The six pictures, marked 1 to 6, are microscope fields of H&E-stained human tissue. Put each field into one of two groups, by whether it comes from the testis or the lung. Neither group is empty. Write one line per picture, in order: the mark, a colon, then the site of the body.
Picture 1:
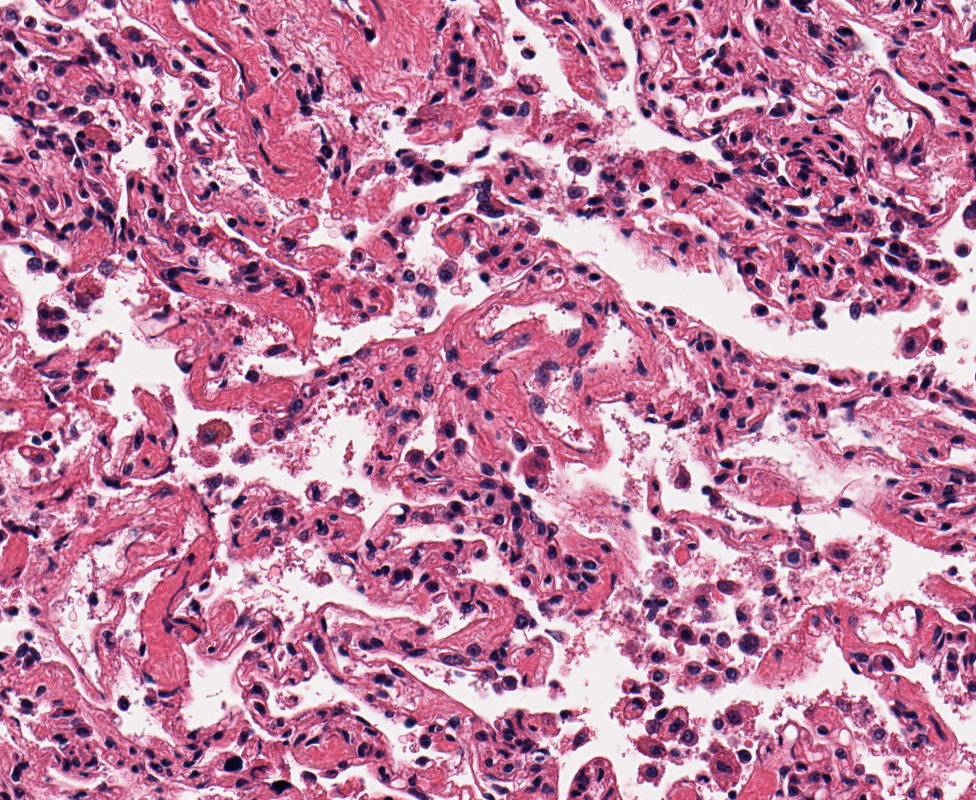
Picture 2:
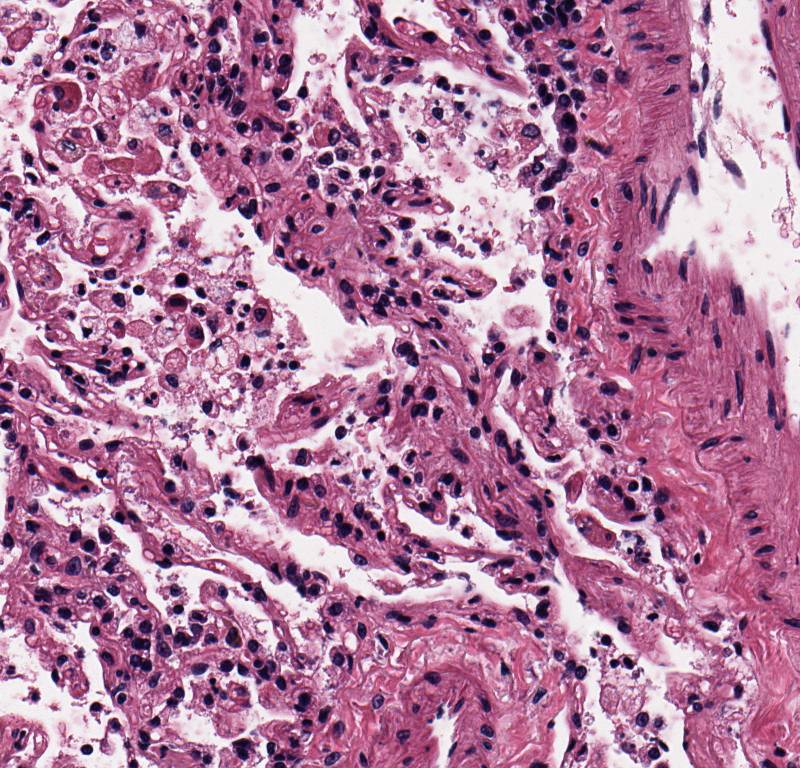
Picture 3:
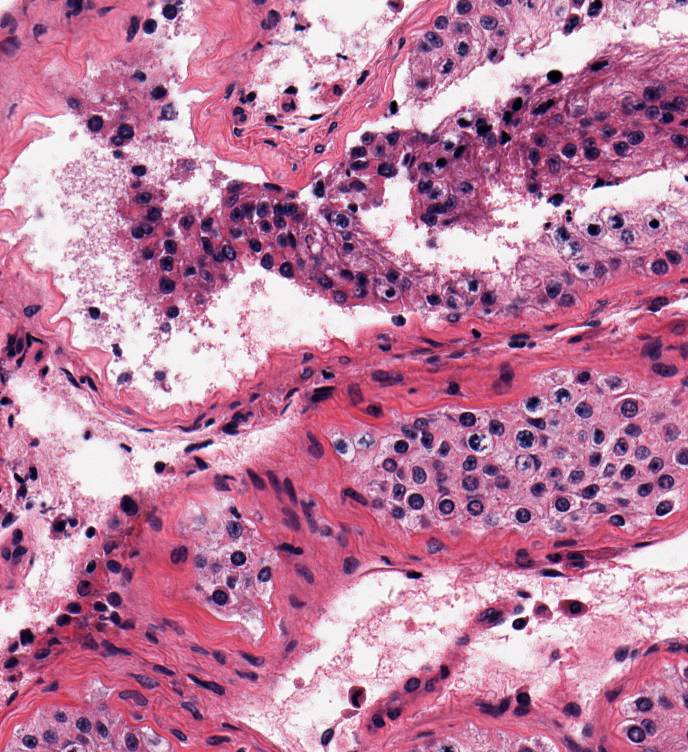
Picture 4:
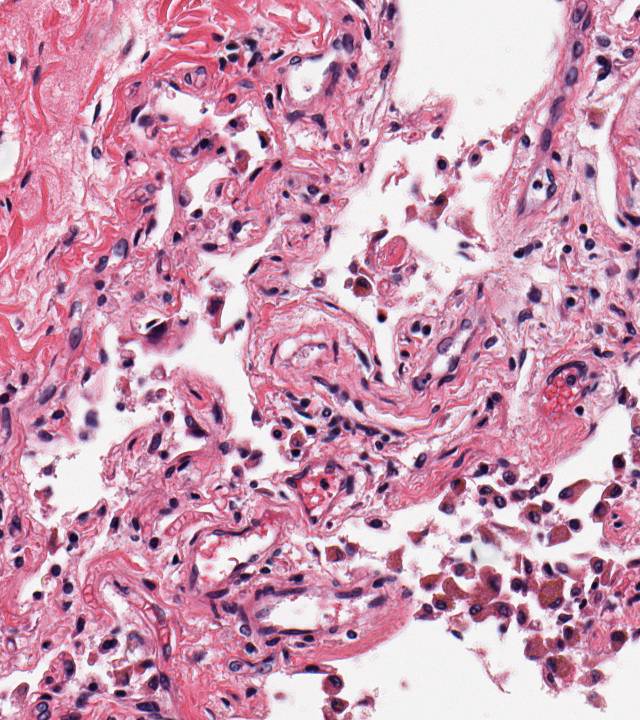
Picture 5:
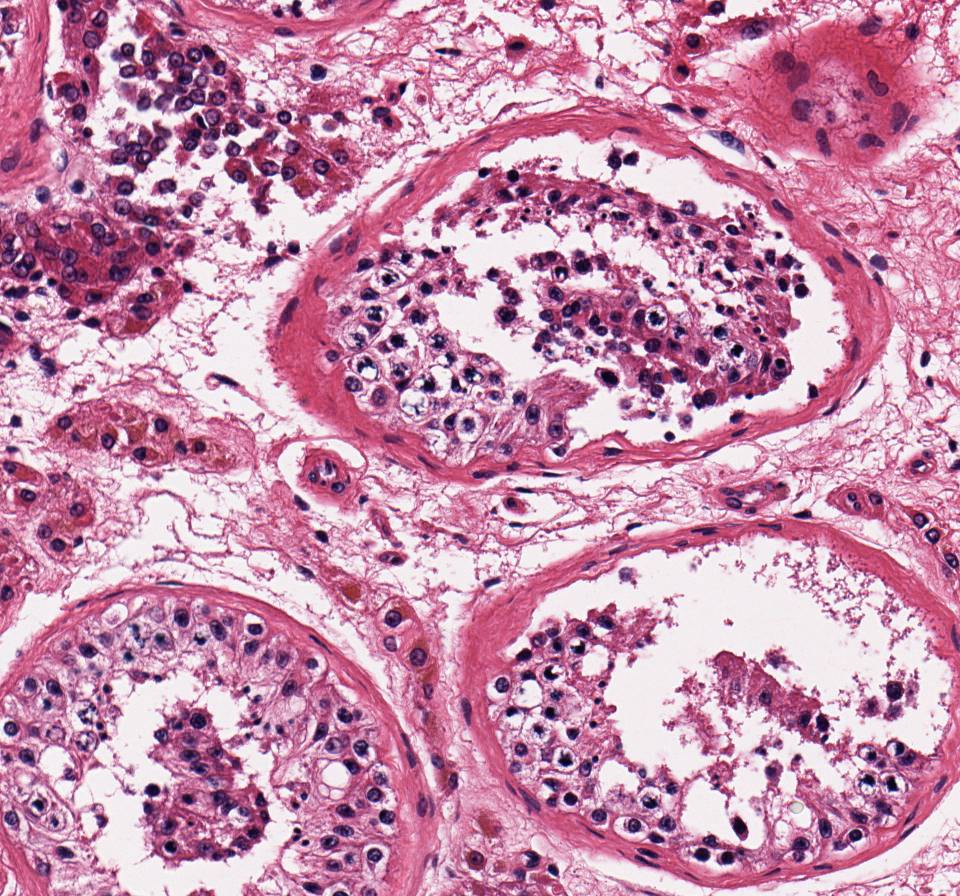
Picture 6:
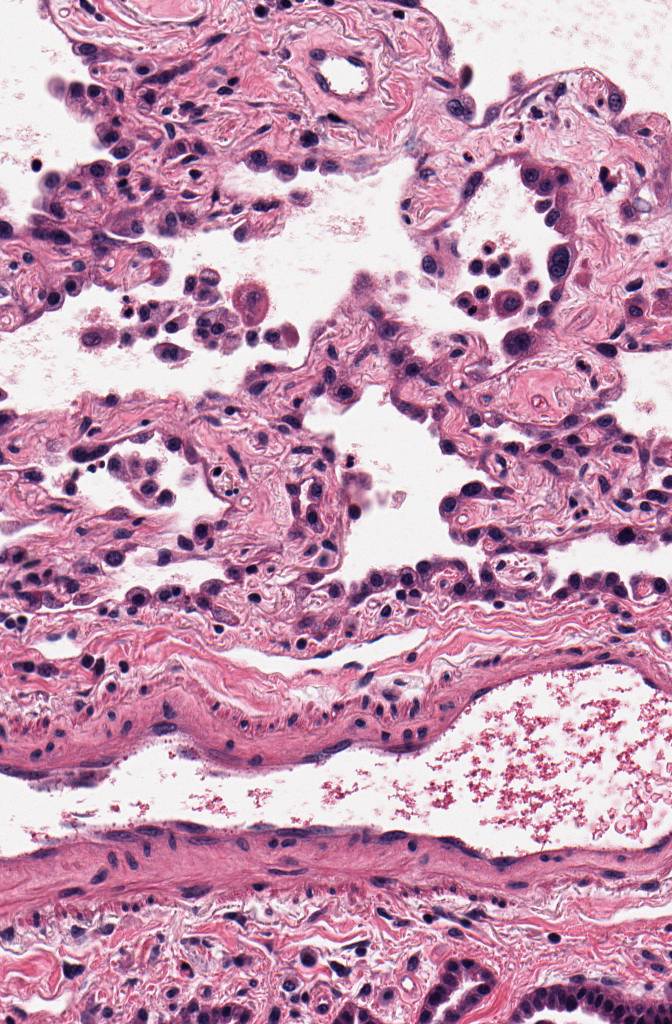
1: lung
2: lung
3: testis
4: lung
5: testis
6: lung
